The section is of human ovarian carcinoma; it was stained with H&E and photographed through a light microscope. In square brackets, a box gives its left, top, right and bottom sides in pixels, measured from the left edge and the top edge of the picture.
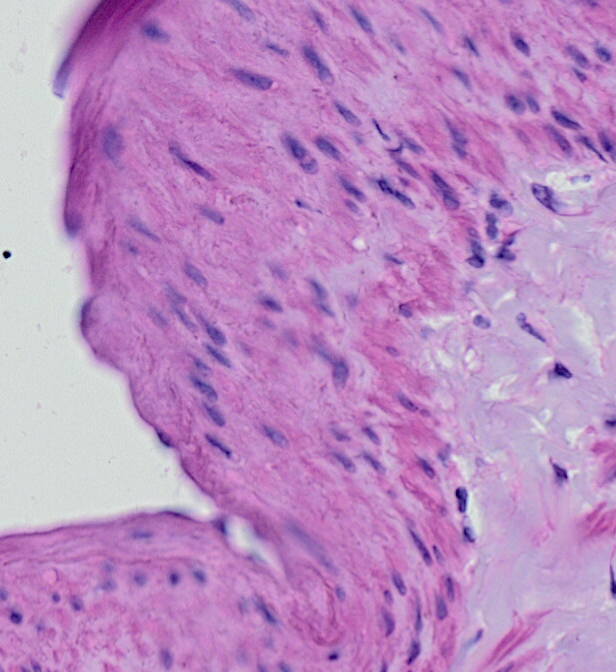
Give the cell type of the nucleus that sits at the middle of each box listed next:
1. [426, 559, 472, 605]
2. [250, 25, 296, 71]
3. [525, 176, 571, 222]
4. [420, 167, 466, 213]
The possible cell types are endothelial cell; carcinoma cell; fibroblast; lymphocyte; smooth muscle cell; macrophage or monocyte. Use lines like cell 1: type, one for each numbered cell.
cell 1: smooth muscle cell
cell 2: smooth muscle cell
cell 3: fibroblast
cell 4: smooth muscle cell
